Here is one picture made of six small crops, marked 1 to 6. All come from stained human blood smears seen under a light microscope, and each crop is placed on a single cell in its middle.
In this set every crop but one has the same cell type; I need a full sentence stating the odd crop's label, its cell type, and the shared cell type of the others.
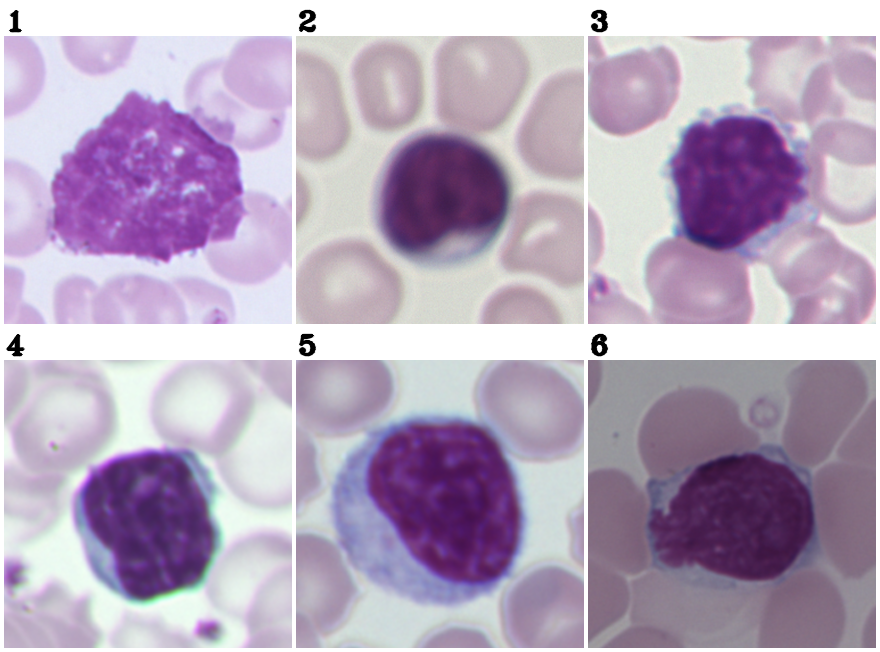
Crop 1 alone is a smudge cell, and the other crops are all typical lymphocytes.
